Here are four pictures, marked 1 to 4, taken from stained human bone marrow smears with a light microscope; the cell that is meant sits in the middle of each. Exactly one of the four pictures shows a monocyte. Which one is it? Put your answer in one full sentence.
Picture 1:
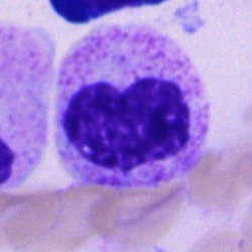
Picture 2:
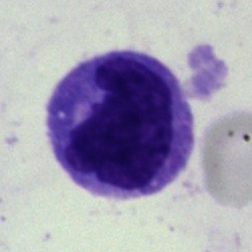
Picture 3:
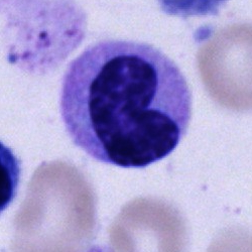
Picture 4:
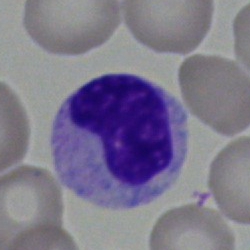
The monocyte is the one in picture 2.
